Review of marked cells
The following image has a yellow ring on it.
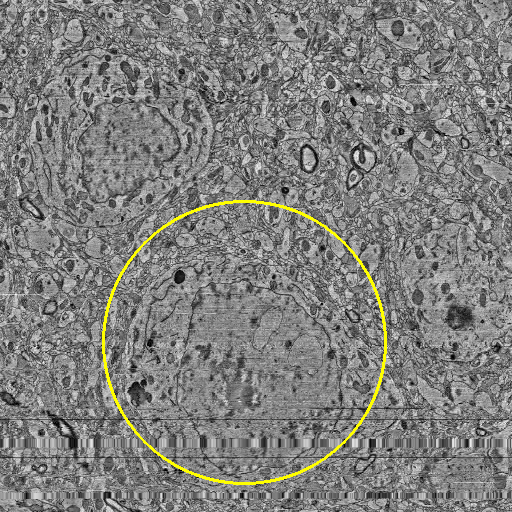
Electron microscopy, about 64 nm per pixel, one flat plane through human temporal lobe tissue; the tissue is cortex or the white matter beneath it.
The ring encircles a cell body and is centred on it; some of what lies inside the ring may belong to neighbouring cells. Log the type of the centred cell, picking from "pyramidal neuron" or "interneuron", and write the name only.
pyramidal neuron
